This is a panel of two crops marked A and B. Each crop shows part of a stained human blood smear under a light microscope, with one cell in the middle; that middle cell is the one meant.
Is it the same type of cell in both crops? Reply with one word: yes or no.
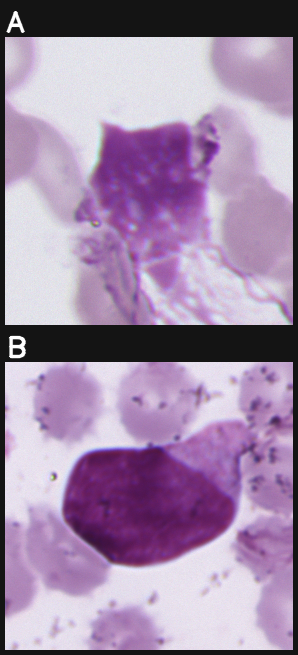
no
